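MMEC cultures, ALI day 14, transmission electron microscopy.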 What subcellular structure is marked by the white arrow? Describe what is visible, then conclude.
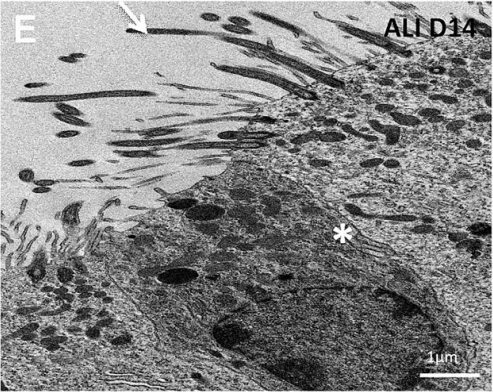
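Cilia. Long slender dense rods project from the cell apex into the empty space. Many such rods run in parallel, some cut across as round profiles.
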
